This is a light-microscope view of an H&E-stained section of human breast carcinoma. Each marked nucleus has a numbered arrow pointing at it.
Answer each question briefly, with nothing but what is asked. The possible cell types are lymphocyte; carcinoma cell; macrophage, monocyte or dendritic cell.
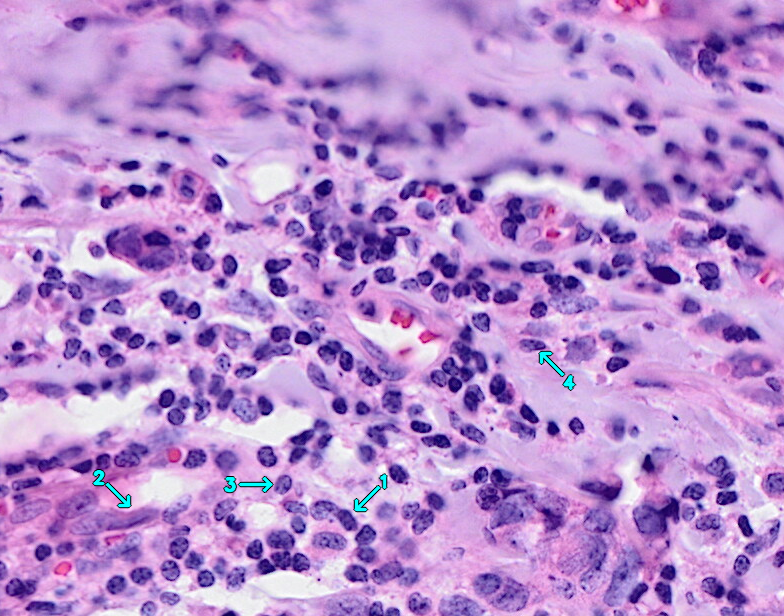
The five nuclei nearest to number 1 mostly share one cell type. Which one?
lymphocyte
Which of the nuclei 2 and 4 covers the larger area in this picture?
2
